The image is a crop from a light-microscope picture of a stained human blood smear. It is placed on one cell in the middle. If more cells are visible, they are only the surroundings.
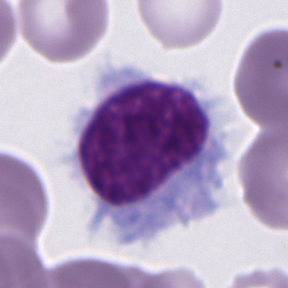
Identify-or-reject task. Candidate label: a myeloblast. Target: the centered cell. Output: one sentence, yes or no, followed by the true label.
No, the cell in the middle of the crop counts as a hairy cell and not as a myeloblast.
